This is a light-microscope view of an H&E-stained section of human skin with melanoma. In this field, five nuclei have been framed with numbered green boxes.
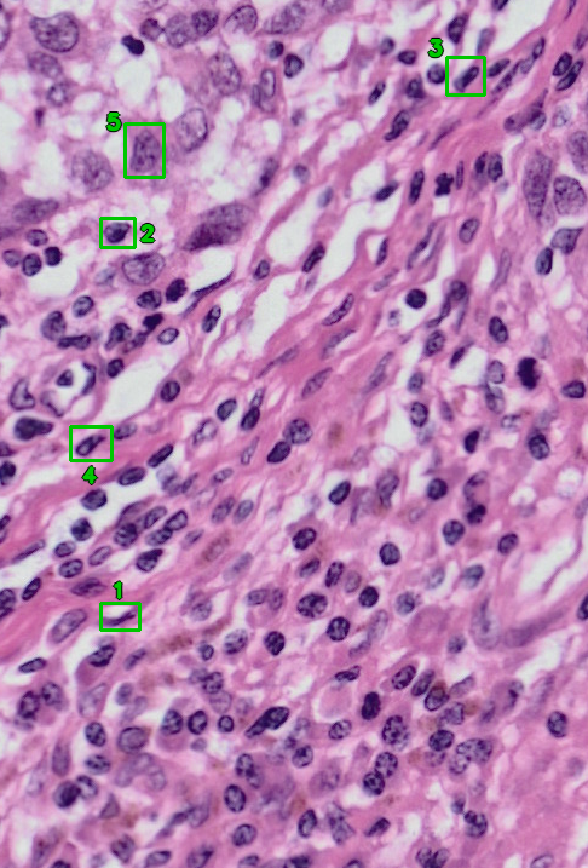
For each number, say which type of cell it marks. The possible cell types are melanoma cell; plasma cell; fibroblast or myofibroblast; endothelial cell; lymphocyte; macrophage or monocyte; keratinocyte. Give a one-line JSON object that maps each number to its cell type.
{"1": "fibroblast or myofibroblast", "2": "lymphocyte", "3": "lymphocyte", "4": "lymphocyte", "5": "melanoma cell"}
